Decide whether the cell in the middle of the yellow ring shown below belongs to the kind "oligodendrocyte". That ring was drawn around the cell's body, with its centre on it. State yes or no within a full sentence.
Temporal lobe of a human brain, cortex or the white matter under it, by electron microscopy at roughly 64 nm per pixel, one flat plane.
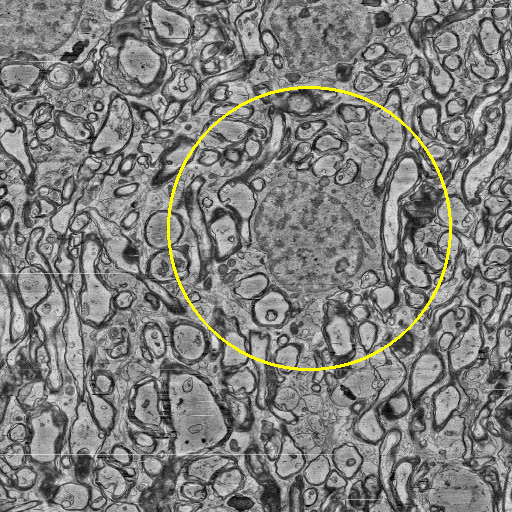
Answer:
Yes, the cell whose body lies at the ring's centre in the picture belongs to that kind.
